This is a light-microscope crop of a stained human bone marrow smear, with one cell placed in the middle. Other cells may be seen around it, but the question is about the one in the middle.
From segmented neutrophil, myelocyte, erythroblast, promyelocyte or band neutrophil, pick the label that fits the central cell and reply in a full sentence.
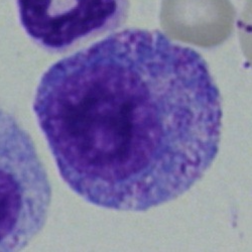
This crop is built around a promyelocyte at its centre.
